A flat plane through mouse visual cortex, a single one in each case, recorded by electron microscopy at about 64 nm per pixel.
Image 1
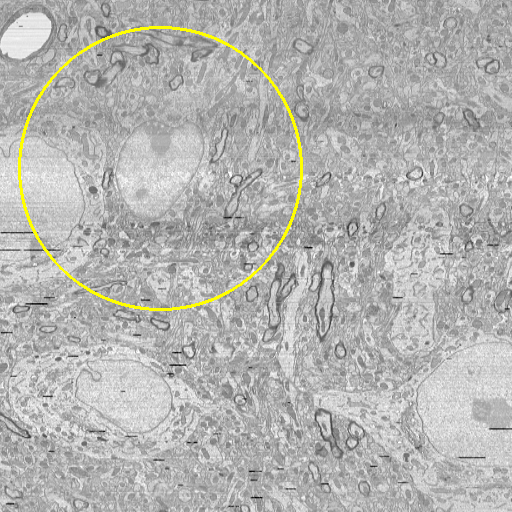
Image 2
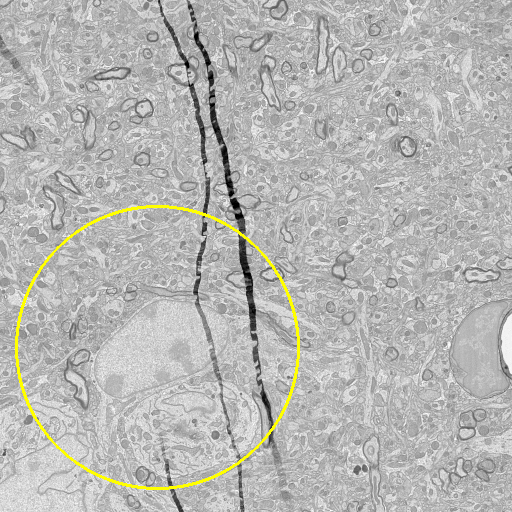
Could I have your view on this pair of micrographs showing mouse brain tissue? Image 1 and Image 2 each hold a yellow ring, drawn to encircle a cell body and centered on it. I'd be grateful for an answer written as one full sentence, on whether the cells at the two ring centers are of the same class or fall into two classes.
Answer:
The cells at the centers of the two rings are of the same class.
